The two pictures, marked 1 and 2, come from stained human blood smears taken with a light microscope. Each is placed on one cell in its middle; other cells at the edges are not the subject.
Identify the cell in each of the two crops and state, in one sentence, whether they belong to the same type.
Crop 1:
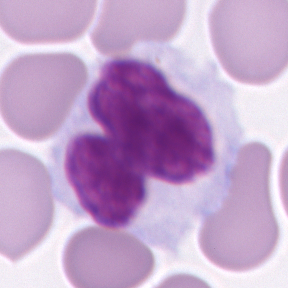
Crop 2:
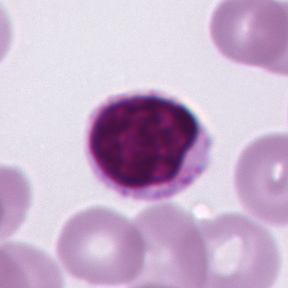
No, look again: crop 1 shows a hairy cell, and crop 2 shows a large granular lymphocyte.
